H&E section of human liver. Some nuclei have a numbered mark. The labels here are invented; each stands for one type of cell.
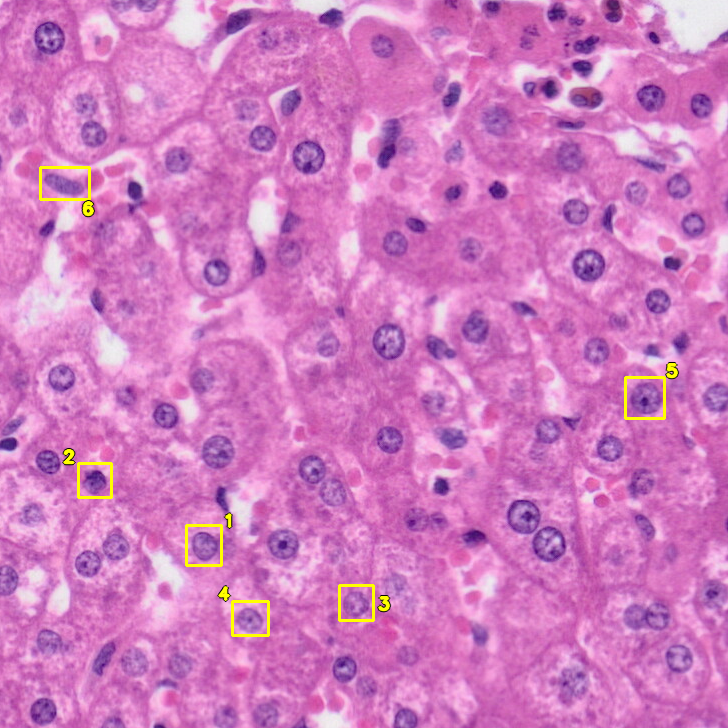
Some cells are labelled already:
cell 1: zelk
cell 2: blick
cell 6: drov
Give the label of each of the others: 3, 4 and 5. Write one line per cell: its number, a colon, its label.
3: zelk
4: zelk
5: zelk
